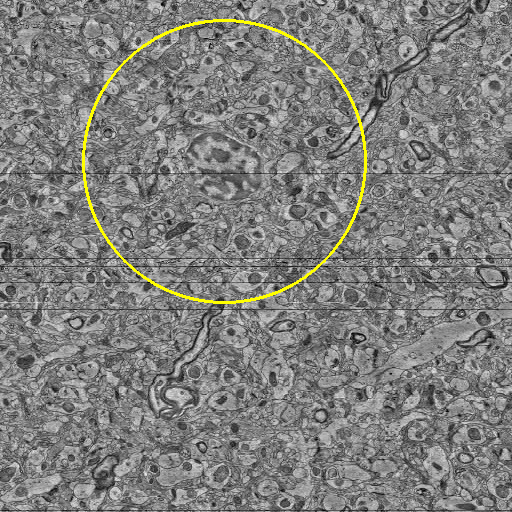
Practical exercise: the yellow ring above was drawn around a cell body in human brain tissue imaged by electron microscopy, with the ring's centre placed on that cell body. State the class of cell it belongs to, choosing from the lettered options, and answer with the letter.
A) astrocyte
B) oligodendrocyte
B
